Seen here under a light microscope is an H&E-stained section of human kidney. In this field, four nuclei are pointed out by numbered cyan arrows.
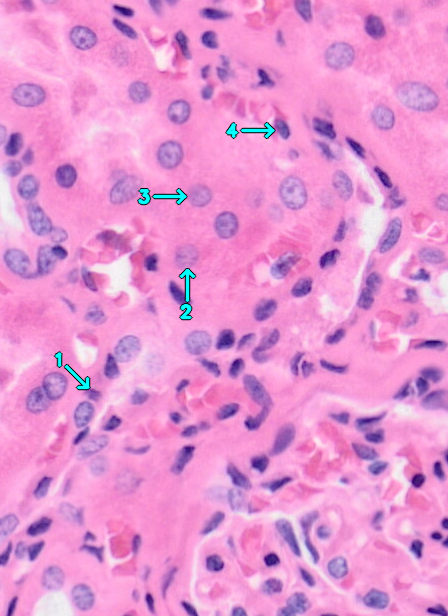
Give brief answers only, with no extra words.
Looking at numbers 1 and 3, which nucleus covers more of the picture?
3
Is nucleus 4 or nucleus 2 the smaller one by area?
4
